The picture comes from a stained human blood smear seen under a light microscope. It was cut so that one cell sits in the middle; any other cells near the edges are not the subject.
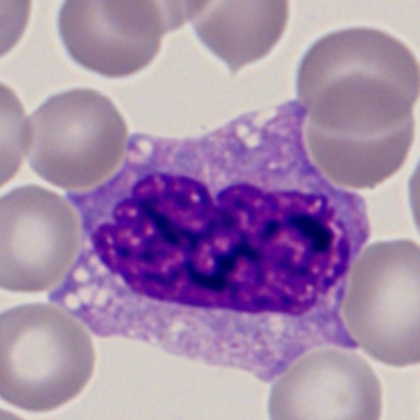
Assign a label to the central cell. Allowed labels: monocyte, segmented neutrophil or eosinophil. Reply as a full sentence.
The centered cell in this crop is a monocyte.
